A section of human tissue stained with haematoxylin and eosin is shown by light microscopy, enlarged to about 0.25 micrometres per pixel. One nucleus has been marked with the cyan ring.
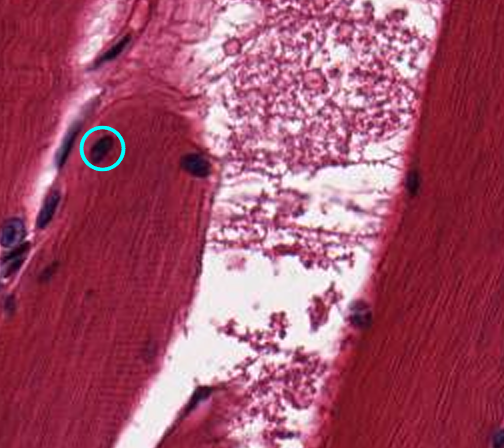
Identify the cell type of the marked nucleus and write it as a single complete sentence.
In this picture, the marked nucleus belongs to a skeletal muscle fibre.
